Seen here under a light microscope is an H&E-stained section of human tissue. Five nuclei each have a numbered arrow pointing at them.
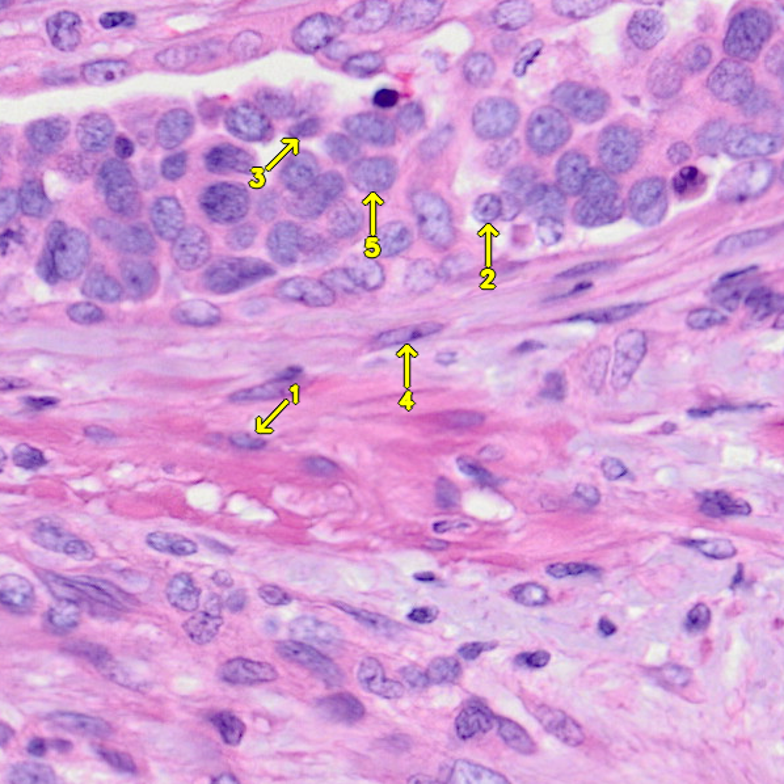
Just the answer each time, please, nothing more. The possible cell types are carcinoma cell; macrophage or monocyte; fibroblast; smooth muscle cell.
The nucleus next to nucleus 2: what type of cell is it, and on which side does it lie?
a carcinoma cell; above and to the right of nucleus 2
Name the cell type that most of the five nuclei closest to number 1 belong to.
smooth muscle cell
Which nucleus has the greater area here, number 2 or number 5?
5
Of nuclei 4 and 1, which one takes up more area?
4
